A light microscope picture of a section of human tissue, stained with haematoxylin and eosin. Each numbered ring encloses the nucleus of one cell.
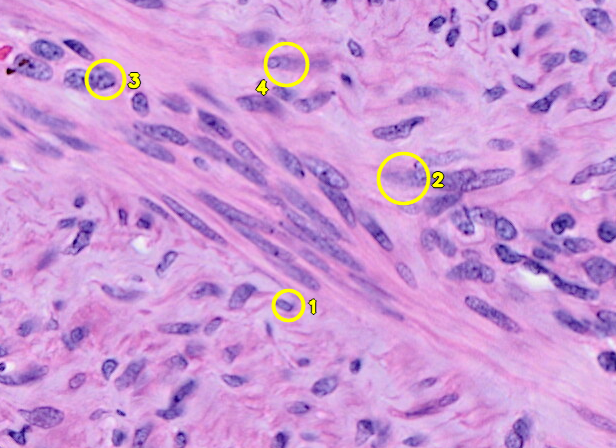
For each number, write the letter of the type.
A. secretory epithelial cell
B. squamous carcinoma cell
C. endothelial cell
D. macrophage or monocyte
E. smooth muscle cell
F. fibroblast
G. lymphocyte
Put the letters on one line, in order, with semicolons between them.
E; E; C; E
